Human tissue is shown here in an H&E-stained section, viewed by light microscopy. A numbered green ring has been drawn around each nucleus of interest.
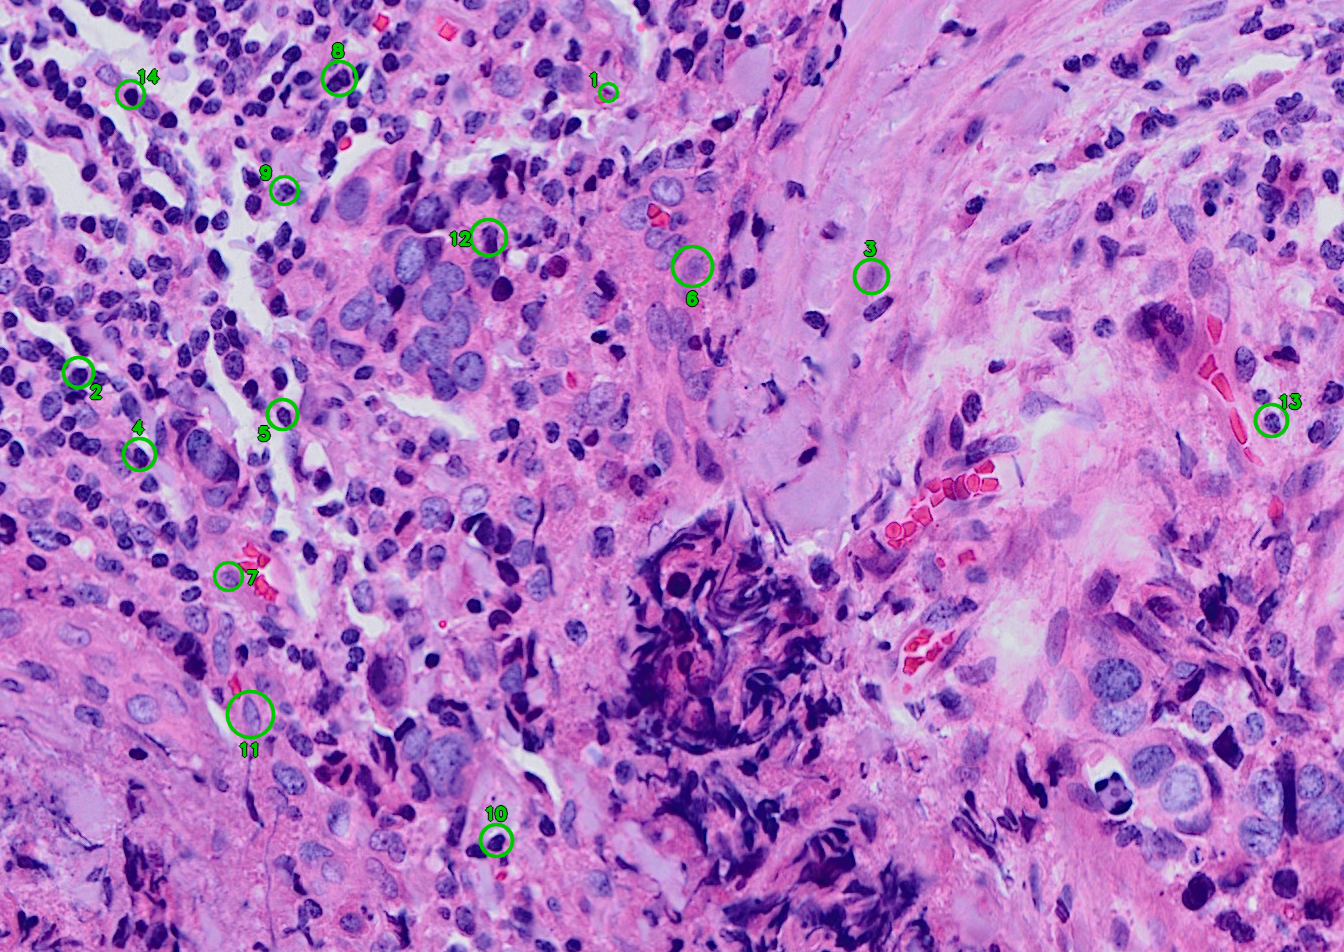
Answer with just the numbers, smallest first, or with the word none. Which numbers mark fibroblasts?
3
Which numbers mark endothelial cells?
1, 6, 7, 11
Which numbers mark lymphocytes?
2, 4, 5, 8, 9, 10, 13, 14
